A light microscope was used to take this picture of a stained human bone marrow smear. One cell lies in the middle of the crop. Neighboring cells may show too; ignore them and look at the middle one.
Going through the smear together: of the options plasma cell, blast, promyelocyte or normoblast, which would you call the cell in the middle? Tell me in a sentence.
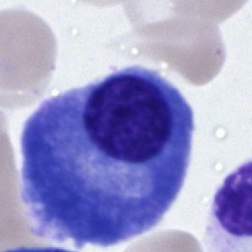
At the center of the crop sits a plasma cell.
